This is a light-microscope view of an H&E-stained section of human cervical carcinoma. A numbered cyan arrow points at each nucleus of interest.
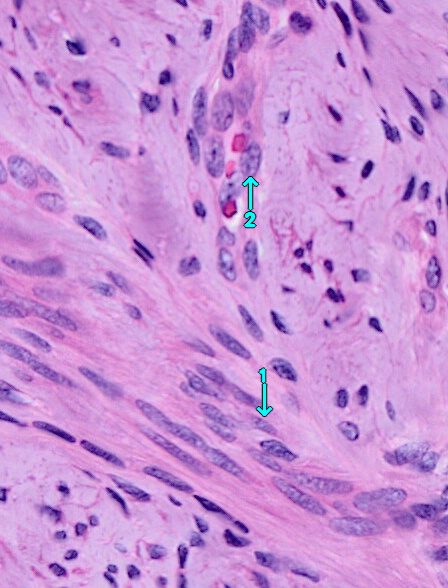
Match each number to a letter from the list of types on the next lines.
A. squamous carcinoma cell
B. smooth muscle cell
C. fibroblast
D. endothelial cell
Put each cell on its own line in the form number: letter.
1: B
2: D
